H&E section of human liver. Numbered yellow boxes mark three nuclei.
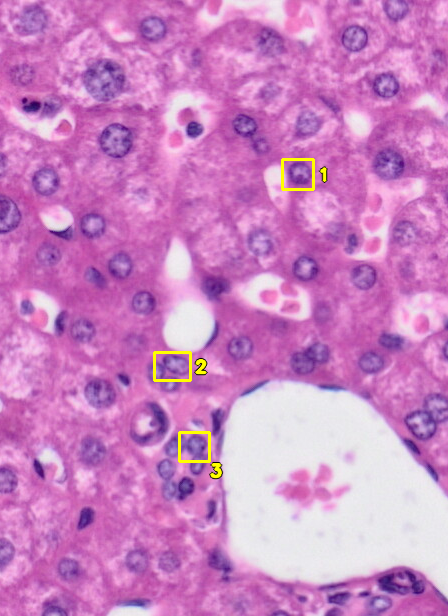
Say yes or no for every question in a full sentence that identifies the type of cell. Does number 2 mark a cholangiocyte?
Yes. The cell carrying number 2 is a cholangiocyte.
